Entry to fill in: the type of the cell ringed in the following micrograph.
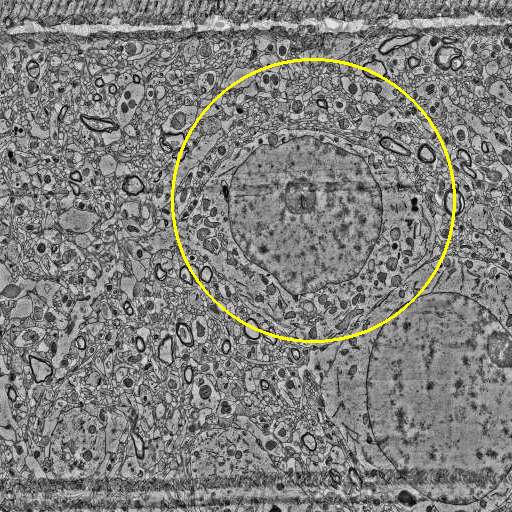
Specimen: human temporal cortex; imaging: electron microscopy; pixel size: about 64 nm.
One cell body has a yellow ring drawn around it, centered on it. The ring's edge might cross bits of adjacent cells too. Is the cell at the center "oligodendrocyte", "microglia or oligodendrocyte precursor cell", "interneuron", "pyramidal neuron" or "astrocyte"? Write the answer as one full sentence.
This entry names an interneuron as the cell whose body lies at the ring's center.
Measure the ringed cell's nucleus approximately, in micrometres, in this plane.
The ringed cell's nucleus is about 10 micrometres across in this plane.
